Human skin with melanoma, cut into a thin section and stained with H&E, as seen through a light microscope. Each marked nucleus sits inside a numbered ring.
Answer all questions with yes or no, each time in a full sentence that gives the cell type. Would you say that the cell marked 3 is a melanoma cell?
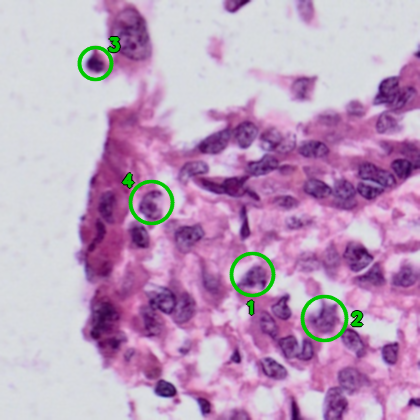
No, cell 3 does not count as a melanoma cell; it is a lymphocyte.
